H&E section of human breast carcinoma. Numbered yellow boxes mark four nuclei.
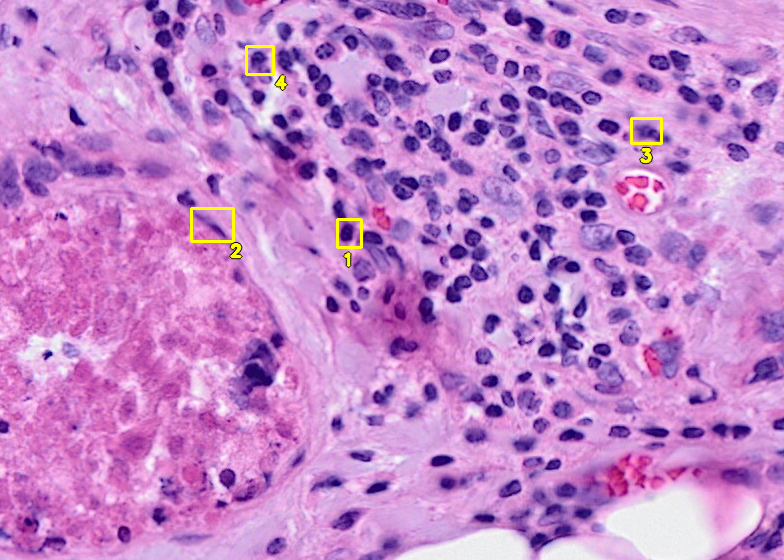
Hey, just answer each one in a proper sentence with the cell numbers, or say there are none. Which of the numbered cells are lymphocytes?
The cells tagged with numbers 1, 3 and 4 are lymphocytes.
